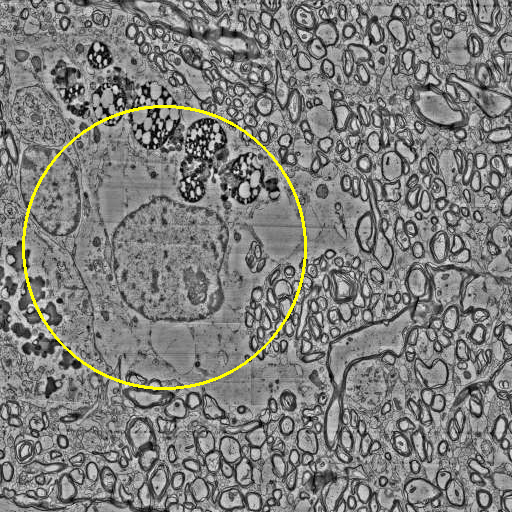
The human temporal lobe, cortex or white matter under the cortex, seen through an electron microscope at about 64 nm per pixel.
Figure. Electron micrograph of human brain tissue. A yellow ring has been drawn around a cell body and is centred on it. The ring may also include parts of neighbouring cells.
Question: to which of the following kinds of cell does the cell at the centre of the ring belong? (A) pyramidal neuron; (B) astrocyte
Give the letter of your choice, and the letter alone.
B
